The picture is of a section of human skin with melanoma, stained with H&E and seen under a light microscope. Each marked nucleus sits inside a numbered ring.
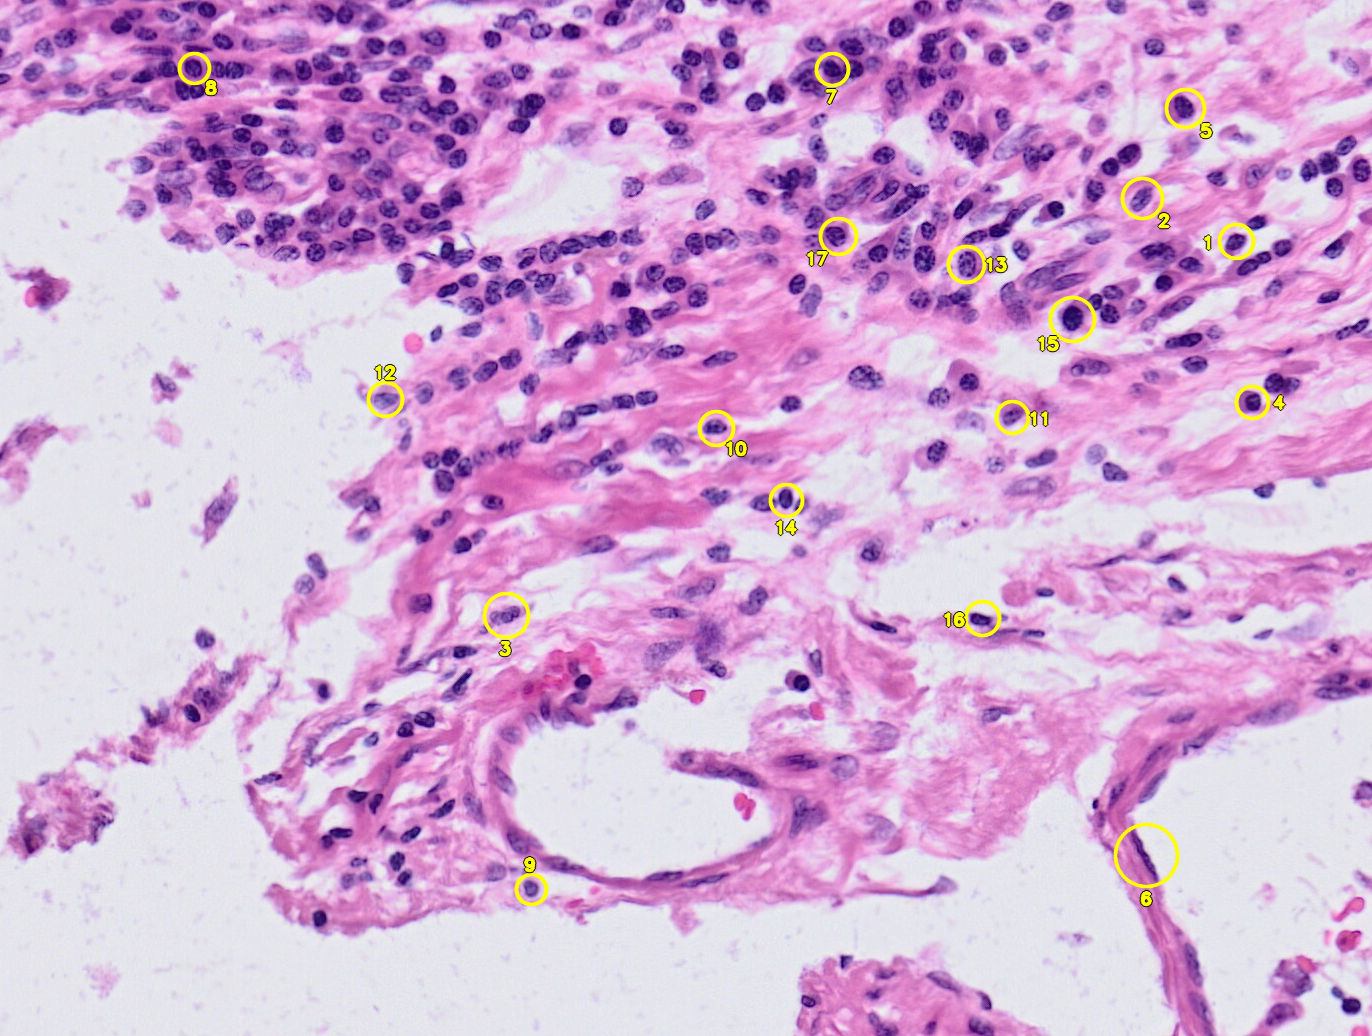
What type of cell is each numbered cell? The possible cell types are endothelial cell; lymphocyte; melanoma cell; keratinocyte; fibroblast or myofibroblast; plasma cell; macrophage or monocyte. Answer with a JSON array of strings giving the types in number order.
["plasma cell", "lymphocyte", "macrophage or monocyte", "plasma cell", "plasma cell", "endothelial cell", "plasma cell", "plasma cell", "lymphocyte", "lymphocyte", "plasma cell", "lymphocyte", "plasma cell", "lymphocyte", "plasma cell", "lymphocyte", "plasma cell"]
